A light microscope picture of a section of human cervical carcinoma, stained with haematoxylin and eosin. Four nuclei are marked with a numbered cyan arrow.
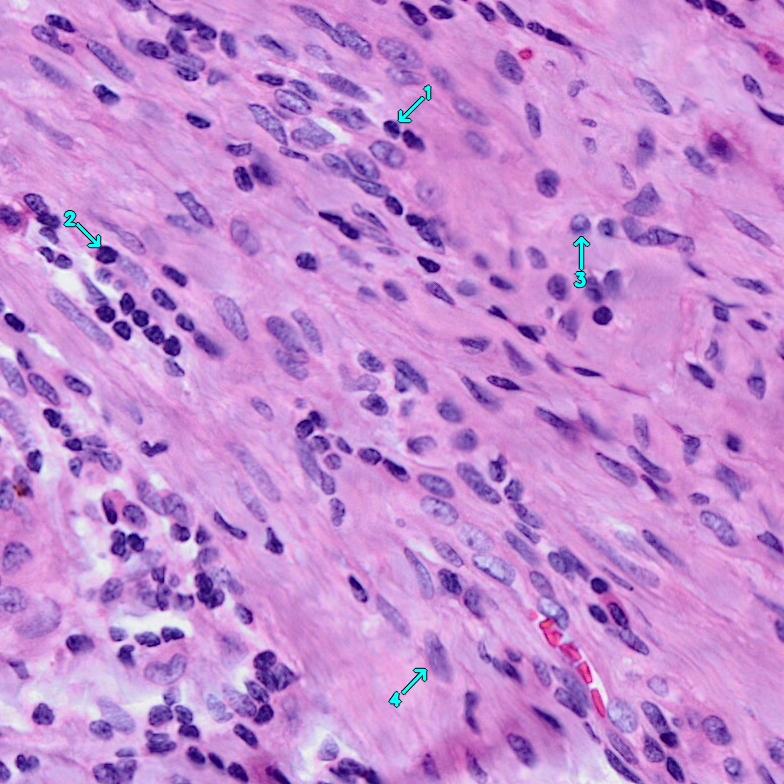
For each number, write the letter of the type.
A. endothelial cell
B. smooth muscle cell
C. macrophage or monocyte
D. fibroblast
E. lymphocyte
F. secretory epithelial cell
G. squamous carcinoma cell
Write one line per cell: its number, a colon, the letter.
1: E
2: E
3: D
4: D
